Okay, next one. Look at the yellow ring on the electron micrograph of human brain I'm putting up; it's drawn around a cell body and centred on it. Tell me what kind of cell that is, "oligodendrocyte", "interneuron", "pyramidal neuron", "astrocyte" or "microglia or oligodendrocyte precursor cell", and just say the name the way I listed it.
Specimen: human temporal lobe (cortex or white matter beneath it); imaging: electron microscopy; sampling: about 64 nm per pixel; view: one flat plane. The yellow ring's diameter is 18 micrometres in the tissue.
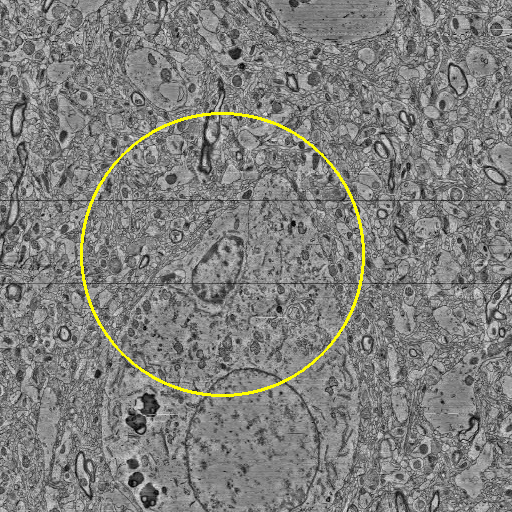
microglia or oligodendrocyte precursor cell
